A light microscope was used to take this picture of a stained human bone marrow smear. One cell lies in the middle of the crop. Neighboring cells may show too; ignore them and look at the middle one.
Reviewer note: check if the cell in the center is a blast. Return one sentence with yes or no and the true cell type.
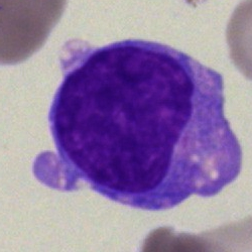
Yes, the centered cell in this field is a blast.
